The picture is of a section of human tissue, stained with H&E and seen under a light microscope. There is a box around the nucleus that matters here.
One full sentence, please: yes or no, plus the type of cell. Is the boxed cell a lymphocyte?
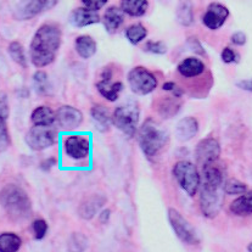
Yes, the boxed cell has been identified as a lymphocyte.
